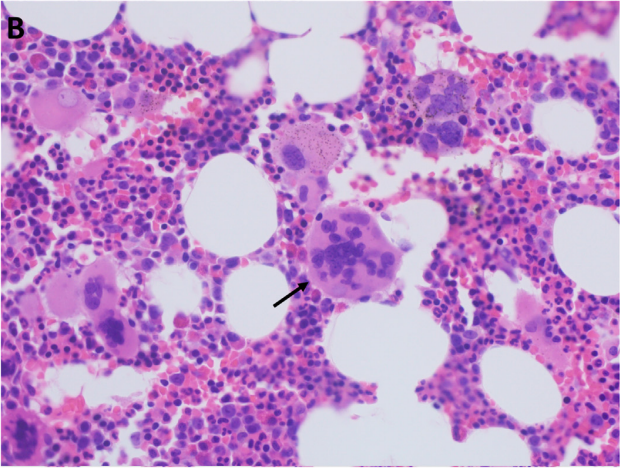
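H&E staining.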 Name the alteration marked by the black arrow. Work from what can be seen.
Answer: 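The arrow points to a very large cell with pink cytoplasm. Its nucleus is divided into many small separate-looking lobes clustered in the centre. That points to this answer: hyperlobation.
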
